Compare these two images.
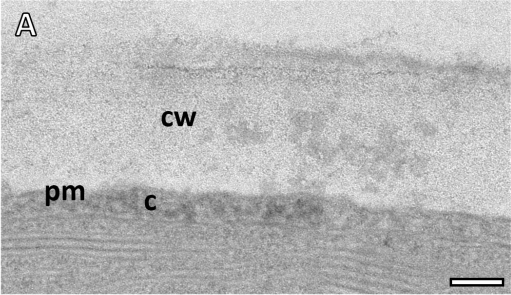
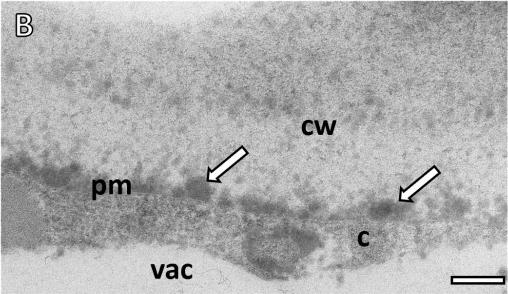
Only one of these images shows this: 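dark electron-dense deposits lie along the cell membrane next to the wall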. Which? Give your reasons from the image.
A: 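Second image: dark patchy deposits sit along the membrane beneath the wall.
Hence: the second image.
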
